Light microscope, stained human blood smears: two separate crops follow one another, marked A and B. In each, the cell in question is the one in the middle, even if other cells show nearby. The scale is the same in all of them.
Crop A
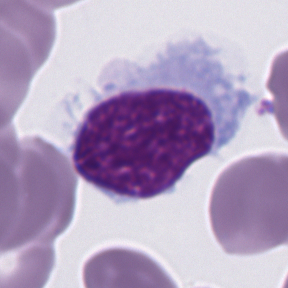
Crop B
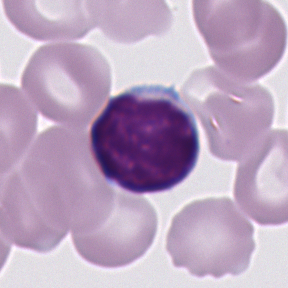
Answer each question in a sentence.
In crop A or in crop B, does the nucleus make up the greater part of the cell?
Of the two, the nucleus in crop B makes up the greater part of its cell.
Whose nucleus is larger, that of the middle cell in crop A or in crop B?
Crop A shows the larger nucleus; it covers about 1.5 times the area of the nucleus in crop B.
